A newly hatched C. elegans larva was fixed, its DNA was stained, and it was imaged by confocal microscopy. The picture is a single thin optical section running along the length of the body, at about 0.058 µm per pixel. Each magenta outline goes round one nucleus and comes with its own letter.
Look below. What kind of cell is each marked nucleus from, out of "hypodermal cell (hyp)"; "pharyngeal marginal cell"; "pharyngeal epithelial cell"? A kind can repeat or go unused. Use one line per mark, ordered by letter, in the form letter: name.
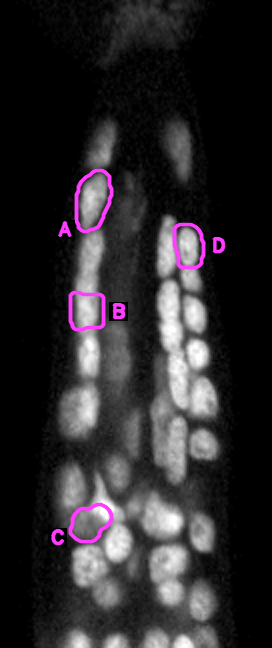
A: hypodermal cell (hyp)
B: hypodermal cell (hyp)
C: pharyngeal marginal cell
D: hypodermal cell (hyp)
